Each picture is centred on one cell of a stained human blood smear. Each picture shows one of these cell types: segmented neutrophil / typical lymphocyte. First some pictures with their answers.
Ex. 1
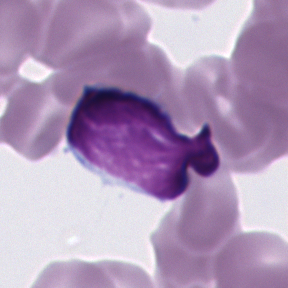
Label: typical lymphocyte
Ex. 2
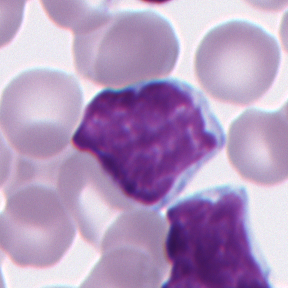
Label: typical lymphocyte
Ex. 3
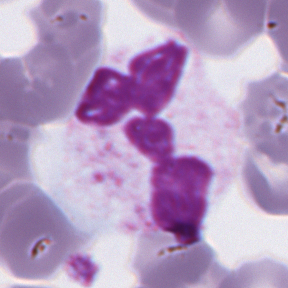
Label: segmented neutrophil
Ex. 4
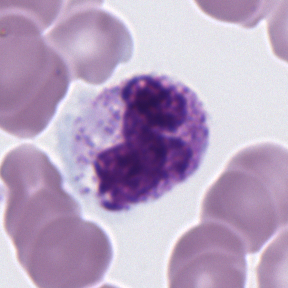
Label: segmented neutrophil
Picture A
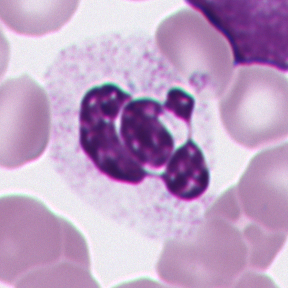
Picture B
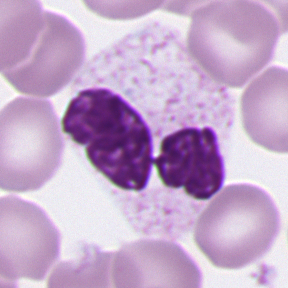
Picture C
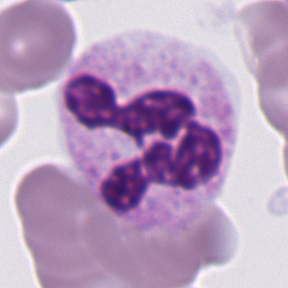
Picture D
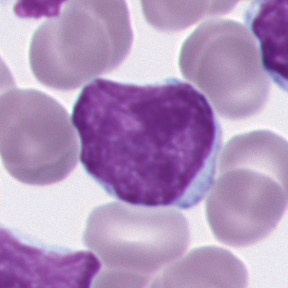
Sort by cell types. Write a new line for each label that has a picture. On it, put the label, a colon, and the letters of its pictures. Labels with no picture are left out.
segmented neutrophil: A, B, C
typical lymphocyte: D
